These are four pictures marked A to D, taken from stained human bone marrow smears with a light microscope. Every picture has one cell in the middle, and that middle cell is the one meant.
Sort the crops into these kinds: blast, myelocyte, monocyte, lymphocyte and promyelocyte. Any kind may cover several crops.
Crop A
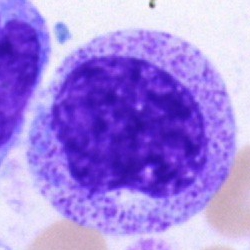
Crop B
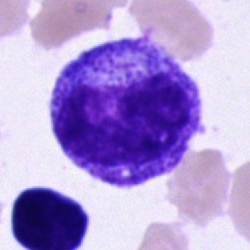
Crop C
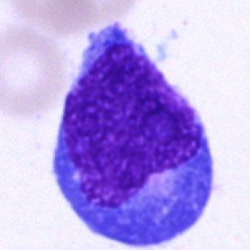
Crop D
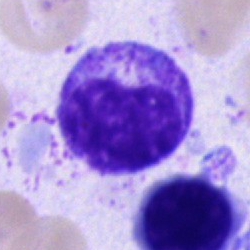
A: myelocyte
B: promyelocyte
C: blast
D: myelocyte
